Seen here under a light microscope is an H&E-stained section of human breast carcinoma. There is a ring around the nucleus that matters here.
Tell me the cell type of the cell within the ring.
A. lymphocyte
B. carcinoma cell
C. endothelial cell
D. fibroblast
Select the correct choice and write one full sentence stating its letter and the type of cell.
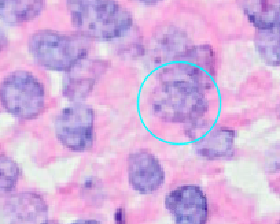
It is option B that correctly calls the cell within the ring a carcinoma cell.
